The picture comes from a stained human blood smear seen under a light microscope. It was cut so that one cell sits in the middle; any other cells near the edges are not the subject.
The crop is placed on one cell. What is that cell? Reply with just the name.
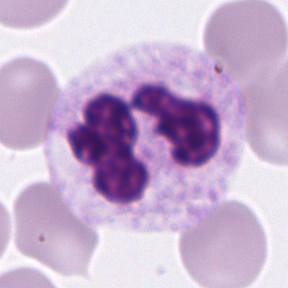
neutrophil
